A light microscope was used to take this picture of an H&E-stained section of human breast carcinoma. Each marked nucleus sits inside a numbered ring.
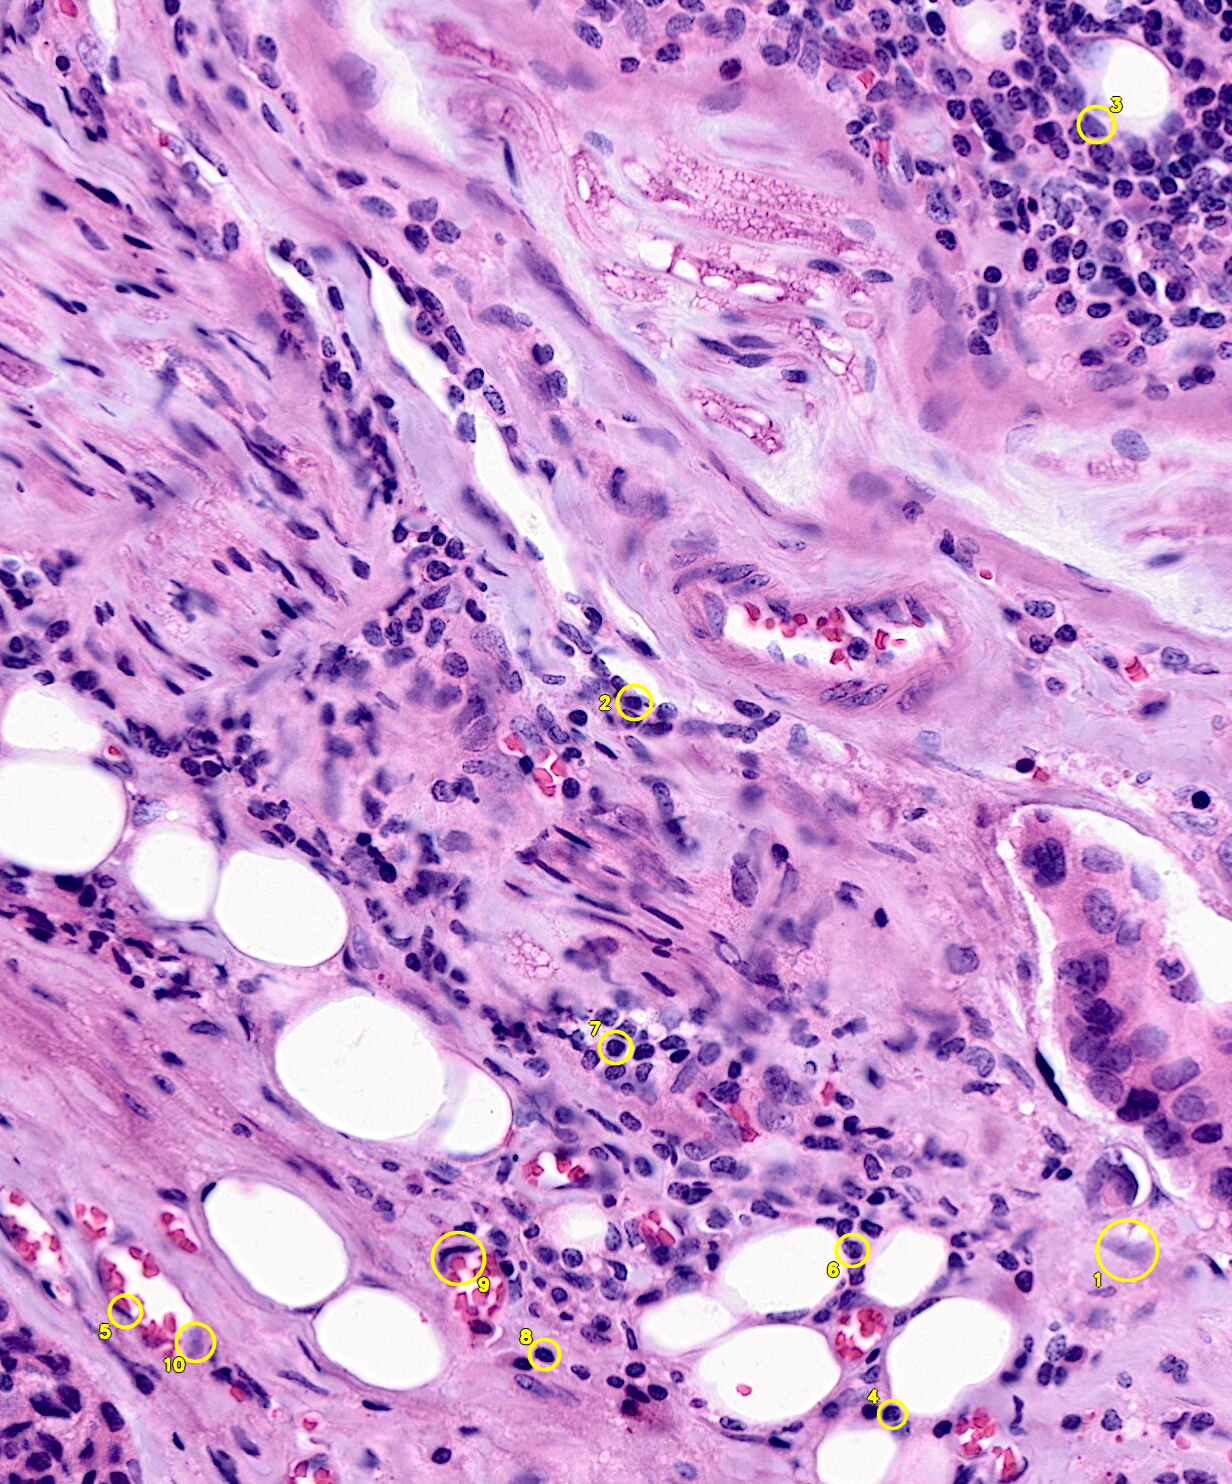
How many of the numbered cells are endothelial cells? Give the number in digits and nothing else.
3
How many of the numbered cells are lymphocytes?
6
